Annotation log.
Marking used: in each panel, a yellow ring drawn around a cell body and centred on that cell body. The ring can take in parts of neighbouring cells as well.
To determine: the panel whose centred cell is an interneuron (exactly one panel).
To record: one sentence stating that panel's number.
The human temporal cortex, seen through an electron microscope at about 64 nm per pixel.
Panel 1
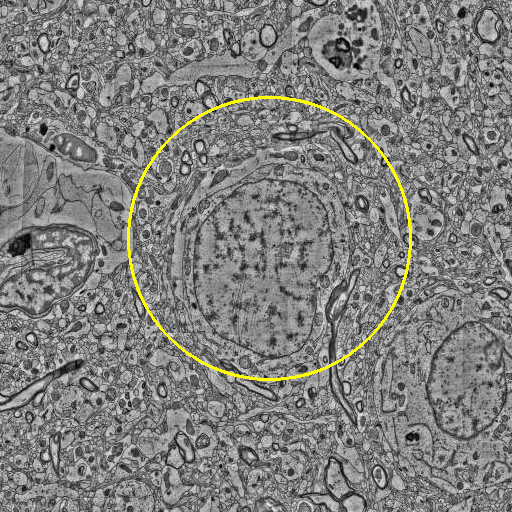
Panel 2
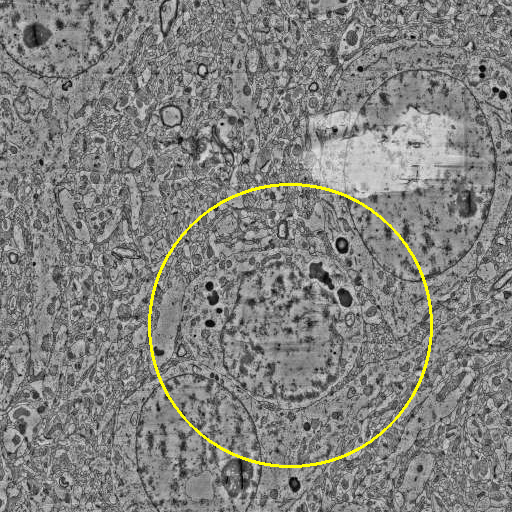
Panel 2 shows it at the centre of its ring.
